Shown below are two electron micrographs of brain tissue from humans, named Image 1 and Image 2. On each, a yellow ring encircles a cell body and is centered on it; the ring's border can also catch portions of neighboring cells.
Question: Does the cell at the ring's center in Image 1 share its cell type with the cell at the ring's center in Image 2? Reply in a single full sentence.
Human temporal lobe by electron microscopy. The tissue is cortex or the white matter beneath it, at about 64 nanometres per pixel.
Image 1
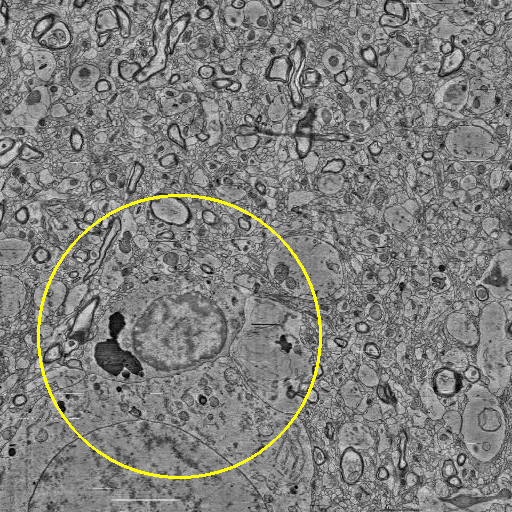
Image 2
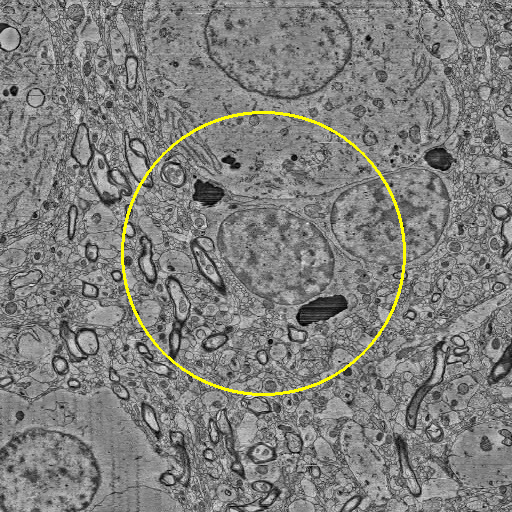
Yes, the two cells at the ring centers, in Image 1 and Image 2, share one cell type.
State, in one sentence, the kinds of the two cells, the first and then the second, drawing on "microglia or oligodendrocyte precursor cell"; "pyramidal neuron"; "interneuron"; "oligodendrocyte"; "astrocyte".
Each of the two rings surrounds an oligodendrocyte.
